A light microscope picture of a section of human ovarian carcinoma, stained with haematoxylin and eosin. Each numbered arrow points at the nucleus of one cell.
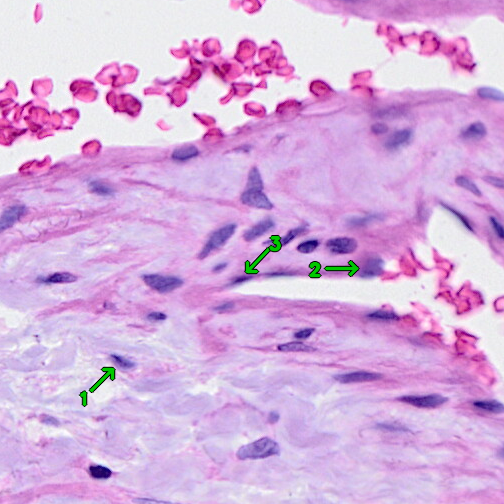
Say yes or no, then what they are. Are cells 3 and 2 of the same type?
Yes, both are endothelial cells.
